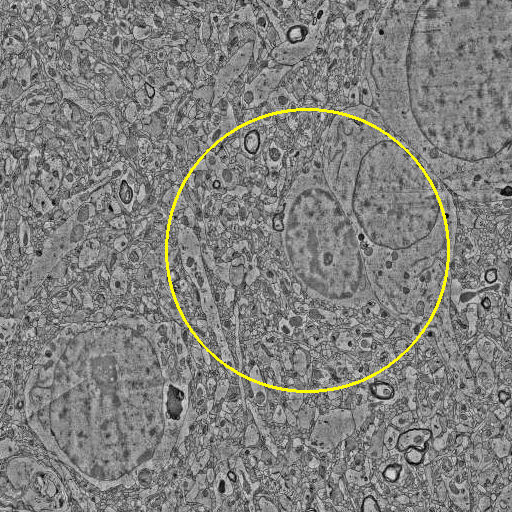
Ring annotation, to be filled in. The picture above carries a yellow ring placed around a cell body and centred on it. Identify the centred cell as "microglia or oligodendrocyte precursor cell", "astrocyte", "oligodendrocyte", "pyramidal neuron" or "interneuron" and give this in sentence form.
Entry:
The cell in the middle of the ring is an oligodendrocyte.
